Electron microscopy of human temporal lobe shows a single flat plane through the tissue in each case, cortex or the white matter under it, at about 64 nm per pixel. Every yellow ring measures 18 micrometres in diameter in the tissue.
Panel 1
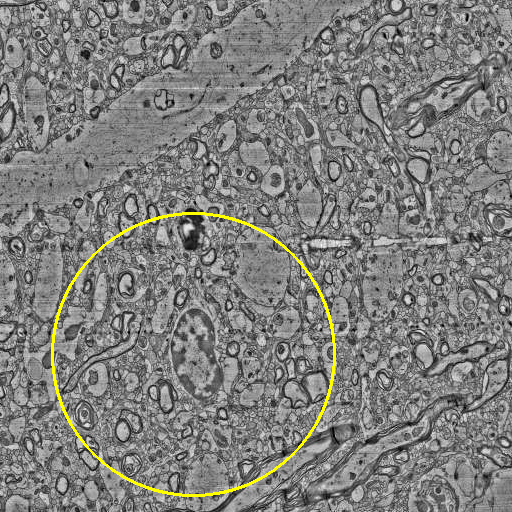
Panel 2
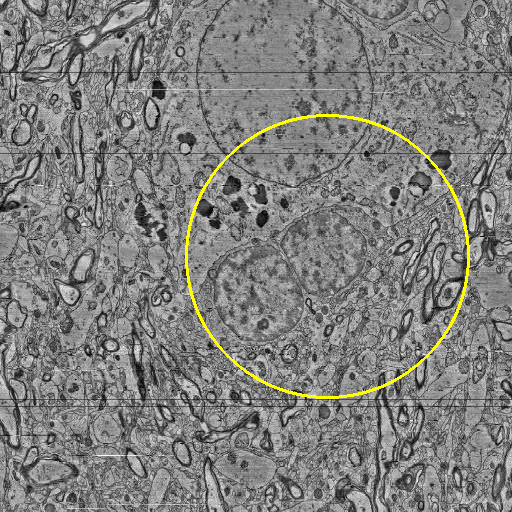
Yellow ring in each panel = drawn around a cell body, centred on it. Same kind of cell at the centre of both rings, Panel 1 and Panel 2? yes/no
no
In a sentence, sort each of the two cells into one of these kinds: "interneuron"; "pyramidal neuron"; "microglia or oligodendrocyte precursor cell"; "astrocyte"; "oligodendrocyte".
The first of the two cells is a microglial cell or oligodendrocyte precursor cell, and the second is an oligodendrocyte.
